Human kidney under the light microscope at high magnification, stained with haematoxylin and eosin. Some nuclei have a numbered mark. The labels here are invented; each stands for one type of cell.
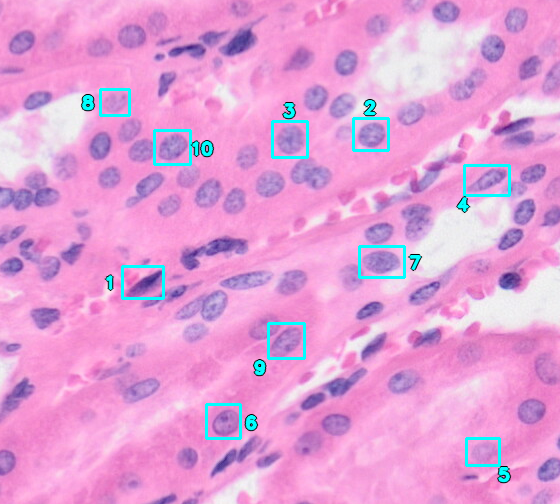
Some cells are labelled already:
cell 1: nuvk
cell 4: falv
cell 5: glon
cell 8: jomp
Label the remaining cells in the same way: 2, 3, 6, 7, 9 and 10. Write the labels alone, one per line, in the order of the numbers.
jomp
jomp
glon
falv
glon
jomp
